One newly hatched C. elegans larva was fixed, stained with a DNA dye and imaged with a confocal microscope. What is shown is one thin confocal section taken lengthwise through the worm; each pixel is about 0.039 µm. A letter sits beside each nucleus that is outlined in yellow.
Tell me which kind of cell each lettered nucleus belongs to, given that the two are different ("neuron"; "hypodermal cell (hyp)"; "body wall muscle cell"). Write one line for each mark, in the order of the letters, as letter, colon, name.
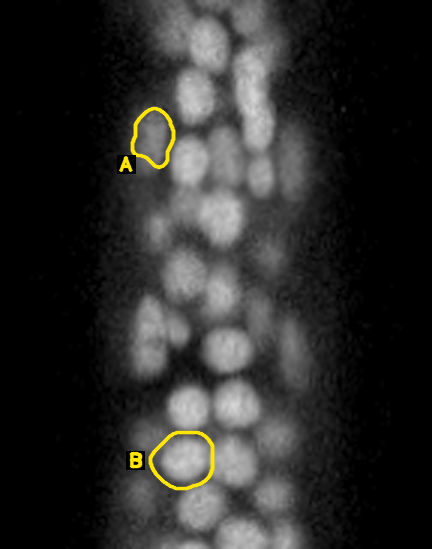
A: body wall muscle cell
B: neuron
